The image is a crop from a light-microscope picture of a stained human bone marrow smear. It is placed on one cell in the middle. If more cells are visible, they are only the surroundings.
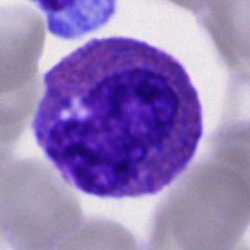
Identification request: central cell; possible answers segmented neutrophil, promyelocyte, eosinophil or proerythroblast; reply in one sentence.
The cell at the centre of the field is an eosinophil.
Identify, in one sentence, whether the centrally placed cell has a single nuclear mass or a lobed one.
Its nucleus is compact and single, with a round, oval or kidney-shaped form.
